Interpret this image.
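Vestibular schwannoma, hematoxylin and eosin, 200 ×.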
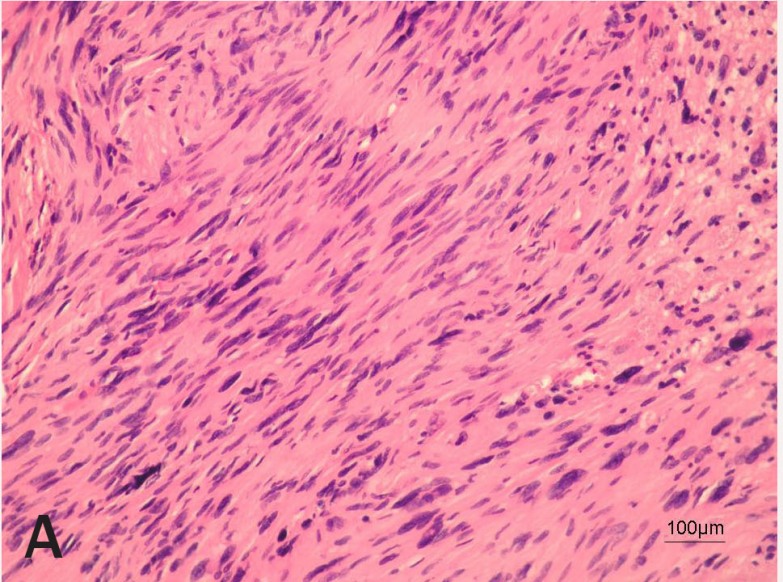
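This tumor tissue is made of compact spindle cells with long, slender, dark purple nuclei, some of them wavy or twisted, set in pink cytoplasm whose cell borders cannot be distinguished. The cells lie close together and run in parallel streams that form short bundles, with scattered larger, darker nuclei among them.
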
